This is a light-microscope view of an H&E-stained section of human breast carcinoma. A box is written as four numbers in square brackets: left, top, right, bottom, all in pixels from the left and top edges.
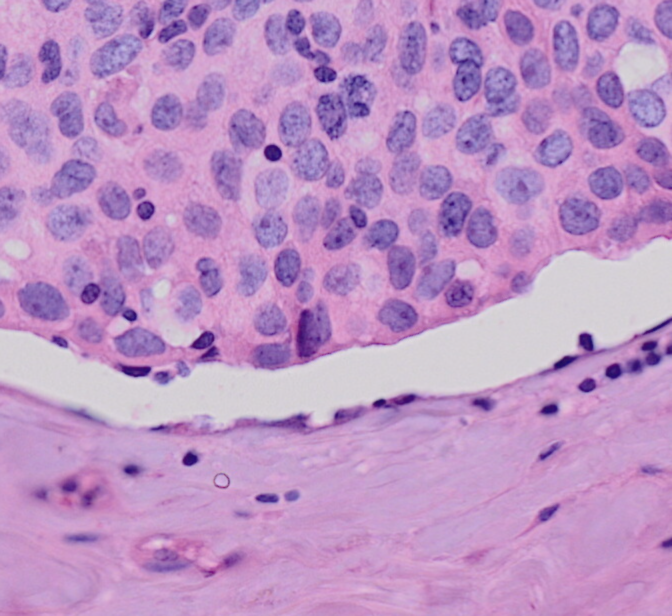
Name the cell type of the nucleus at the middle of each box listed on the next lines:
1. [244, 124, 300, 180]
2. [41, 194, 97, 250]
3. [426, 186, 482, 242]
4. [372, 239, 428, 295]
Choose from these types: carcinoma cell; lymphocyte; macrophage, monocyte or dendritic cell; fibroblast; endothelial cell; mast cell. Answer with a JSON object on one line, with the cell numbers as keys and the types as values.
{"1": "lymphocyte", "2": "carcinoma cell", "3": "carcinoma cell", "4": "carcinoma cell"}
